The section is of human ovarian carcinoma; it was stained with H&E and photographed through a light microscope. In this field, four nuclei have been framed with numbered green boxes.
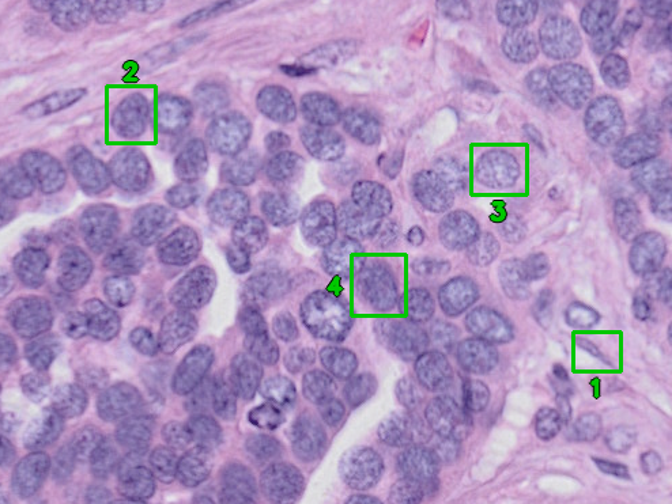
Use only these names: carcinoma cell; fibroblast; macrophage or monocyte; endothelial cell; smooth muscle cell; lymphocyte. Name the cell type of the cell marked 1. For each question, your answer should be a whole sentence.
Belonging to a fibroblast is the nucleus that carries the number 1.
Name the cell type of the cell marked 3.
The label 3 in this section denotes a carcinoma cell.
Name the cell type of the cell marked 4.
The cell tagged with 4 in this tissue section is a carcinoma cell.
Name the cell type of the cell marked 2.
In the marked set, the cell given number 2 is a carcinoma cell.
